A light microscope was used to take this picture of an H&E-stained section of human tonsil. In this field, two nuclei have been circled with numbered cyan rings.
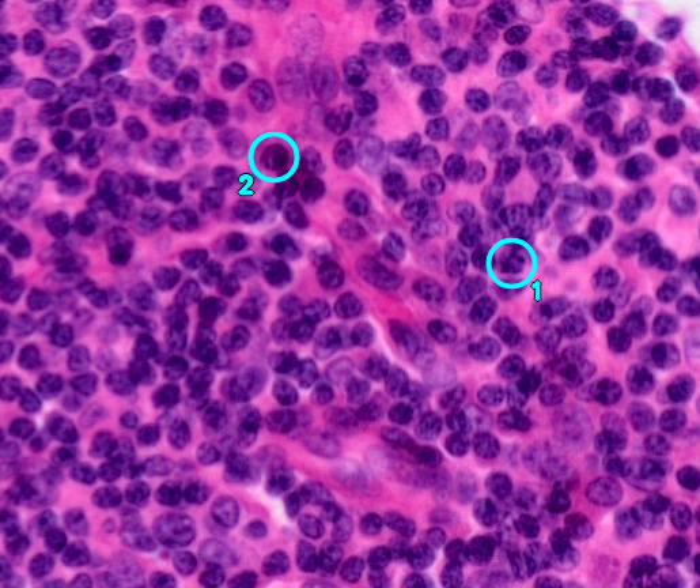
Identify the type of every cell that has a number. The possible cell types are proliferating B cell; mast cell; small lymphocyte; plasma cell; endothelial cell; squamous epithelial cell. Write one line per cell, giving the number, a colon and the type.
1: small lymphocyte
2: plasma cell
